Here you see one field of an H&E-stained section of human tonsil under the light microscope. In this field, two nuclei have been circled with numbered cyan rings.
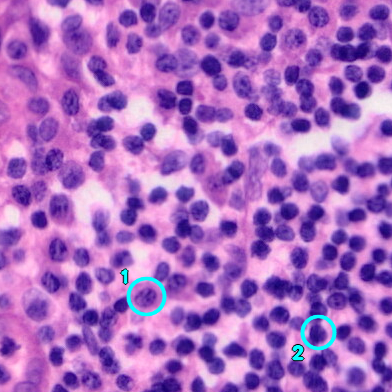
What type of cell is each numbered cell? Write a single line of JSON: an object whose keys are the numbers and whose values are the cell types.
{"1": "plasma cell", "2": "small lymphocyte"}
